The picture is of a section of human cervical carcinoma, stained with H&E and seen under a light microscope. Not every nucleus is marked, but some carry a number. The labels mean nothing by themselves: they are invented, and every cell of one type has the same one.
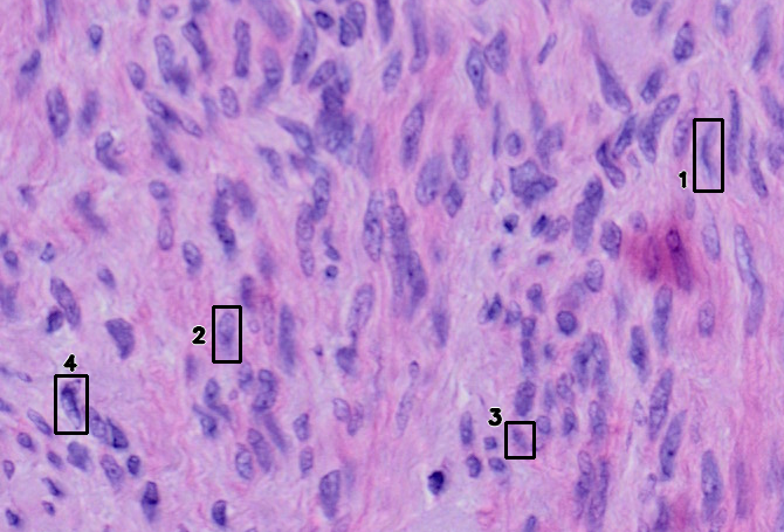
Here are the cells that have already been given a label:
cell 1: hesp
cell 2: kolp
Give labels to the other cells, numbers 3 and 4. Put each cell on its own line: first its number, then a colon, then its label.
3: kolp
4: hesp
